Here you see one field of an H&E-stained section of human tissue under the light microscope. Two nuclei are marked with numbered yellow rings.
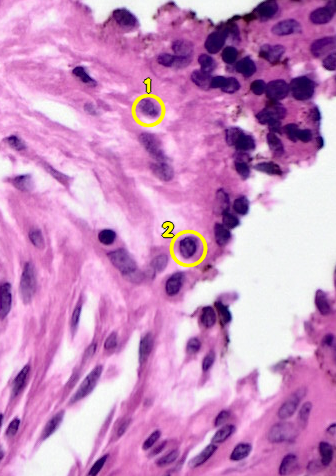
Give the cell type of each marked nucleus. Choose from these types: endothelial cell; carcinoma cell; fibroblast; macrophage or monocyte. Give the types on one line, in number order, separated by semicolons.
fibroblast; macrophage or monocyte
